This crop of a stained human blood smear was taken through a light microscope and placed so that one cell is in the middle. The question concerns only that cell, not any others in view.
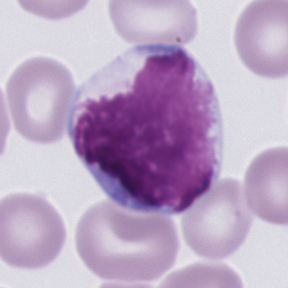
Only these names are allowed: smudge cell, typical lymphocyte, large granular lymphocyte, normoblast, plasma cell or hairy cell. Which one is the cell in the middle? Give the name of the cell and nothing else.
large granular lymphocyte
